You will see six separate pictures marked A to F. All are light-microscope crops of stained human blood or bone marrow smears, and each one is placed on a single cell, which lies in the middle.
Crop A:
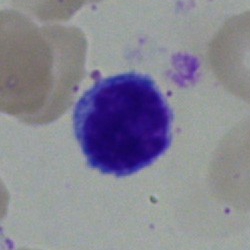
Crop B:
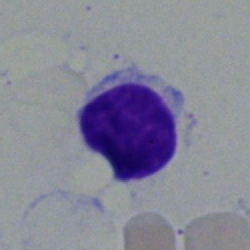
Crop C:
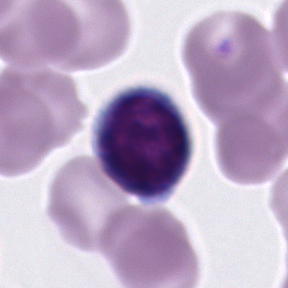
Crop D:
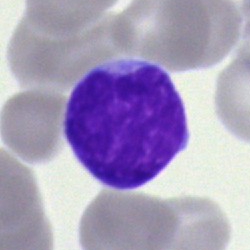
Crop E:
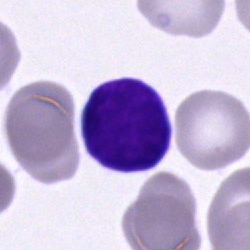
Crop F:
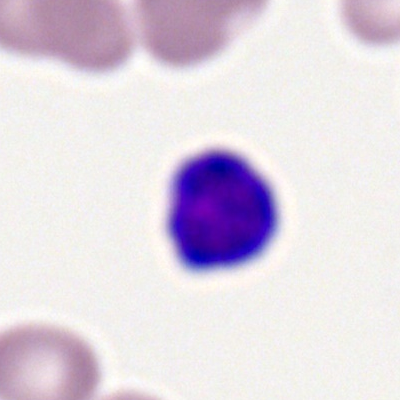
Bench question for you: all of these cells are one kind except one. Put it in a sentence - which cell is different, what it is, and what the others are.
Crop D breaks the pattern with a blast; all the others show lymphocytes.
